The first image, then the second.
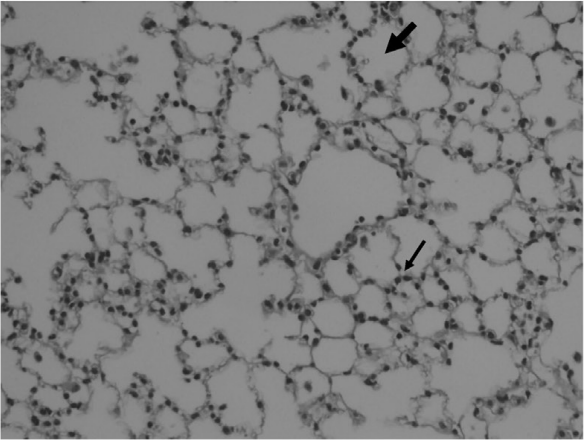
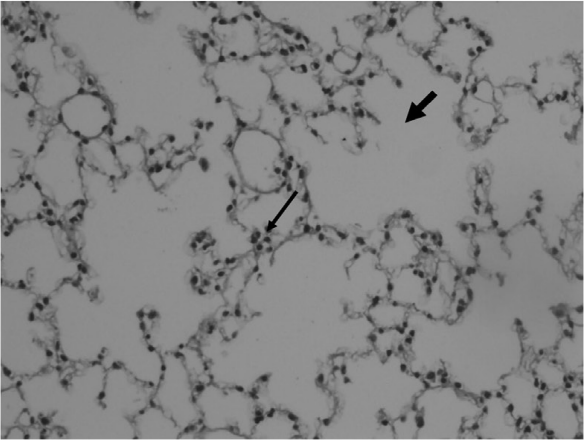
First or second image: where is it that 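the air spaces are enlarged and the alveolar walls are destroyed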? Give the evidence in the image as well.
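Second image: large, irregular empty spaces with broken, free-ending septa. The answer: the second image.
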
